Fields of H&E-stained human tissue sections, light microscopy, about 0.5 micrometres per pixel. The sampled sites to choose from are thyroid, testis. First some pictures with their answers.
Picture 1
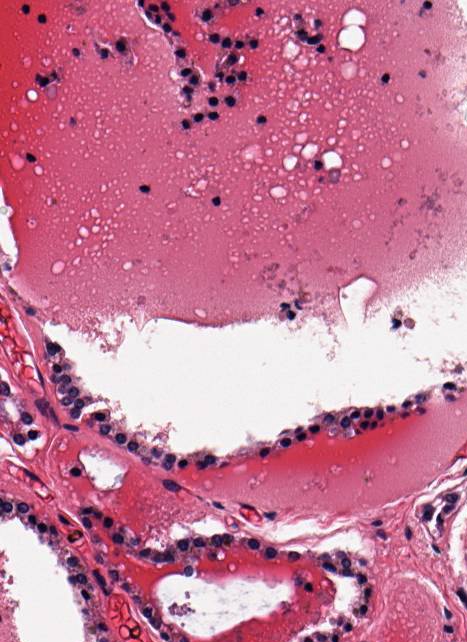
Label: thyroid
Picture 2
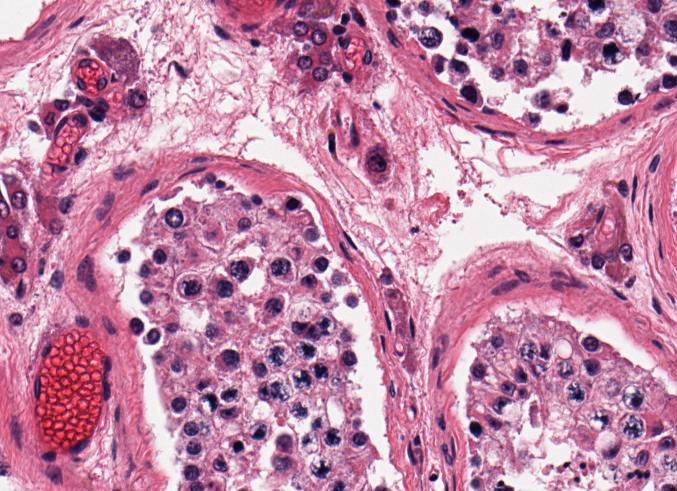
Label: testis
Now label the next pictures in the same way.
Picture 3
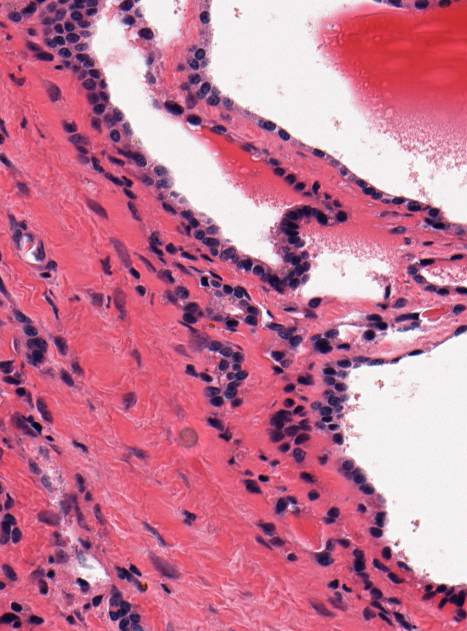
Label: thyroid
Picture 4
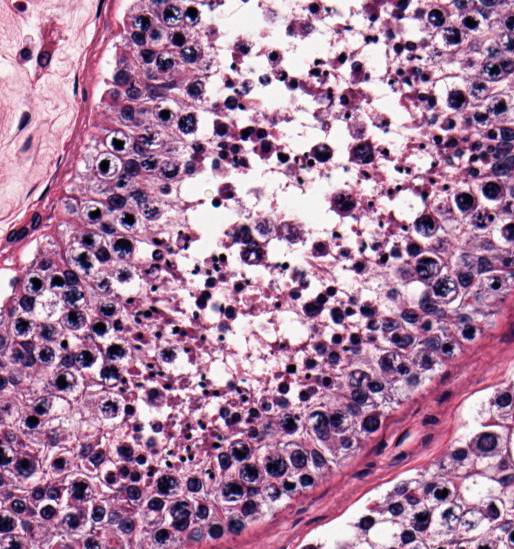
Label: testis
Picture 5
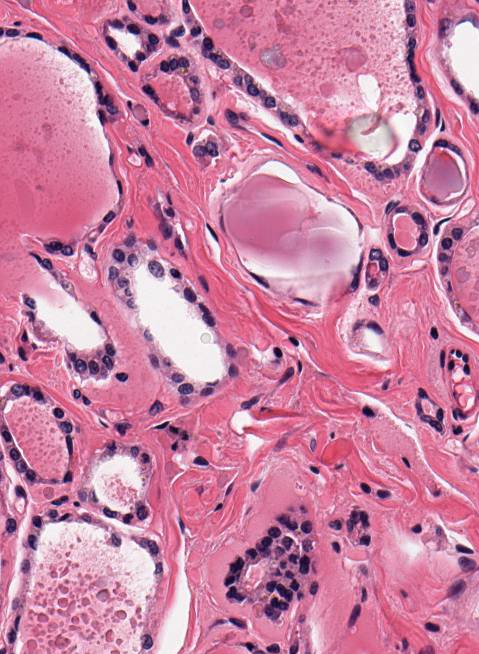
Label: thyroid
